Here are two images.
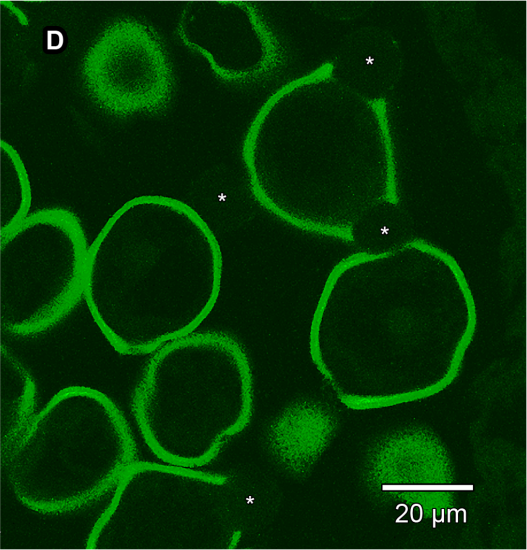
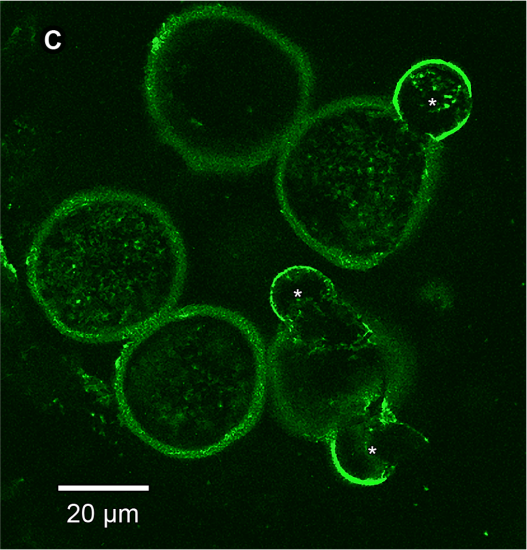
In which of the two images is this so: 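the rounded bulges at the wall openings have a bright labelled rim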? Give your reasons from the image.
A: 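First image: the bulges marked by asterisks are dark and unlabelled. Second image: the bulges marked by asterisks show a bright green outer rim. That points to this answer: the second image.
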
